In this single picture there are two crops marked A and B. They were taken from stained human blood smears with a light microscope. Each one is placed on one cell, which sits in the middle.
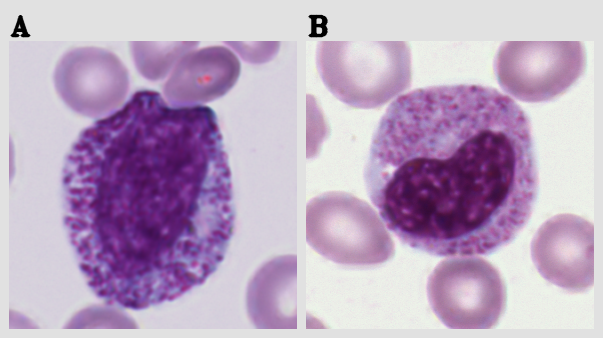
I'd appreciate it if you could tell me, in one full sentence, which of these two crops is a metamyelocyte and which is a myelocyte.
Crop A and crop B are a myelocyte and a metamyelocyte, in that order.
